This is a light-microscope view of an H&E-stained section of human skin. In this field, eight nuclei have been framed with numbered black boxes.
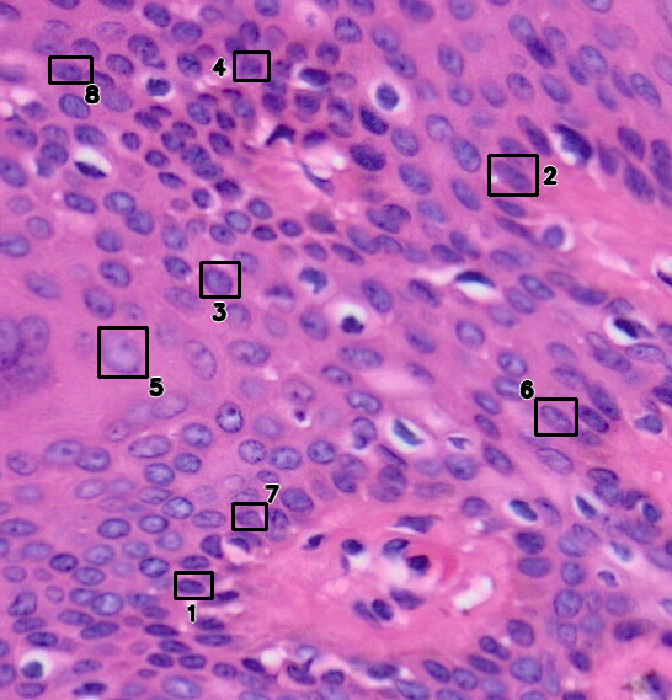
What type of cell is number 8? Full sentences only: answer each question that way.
As for number 8, that cell is a suprabasal keratinocyte.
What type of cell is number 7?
The one numbered 7 among the marked cells is a basal keratinocyte.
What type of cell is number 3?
Corresponding to a suprabasal keratinocyte is the cell labelled 3.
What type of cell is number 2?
The cell referred to as 2 is a basal keratinocyte.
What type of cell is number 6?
The cell tagged with 6 in this tissue section is a suprabasal keratinocyte.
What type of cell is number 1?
Cell number 1 in this section is a basal keratinocyte.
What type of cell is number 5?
The cell numbered 5 has been identified as a suprabasal keratinocyte.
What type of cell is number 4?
The nucleus marked 4 is the nucleus of a basal keratinocyte.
